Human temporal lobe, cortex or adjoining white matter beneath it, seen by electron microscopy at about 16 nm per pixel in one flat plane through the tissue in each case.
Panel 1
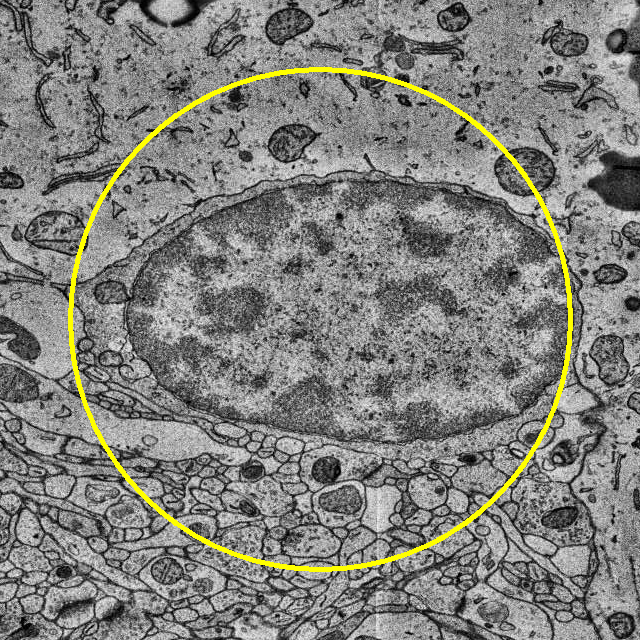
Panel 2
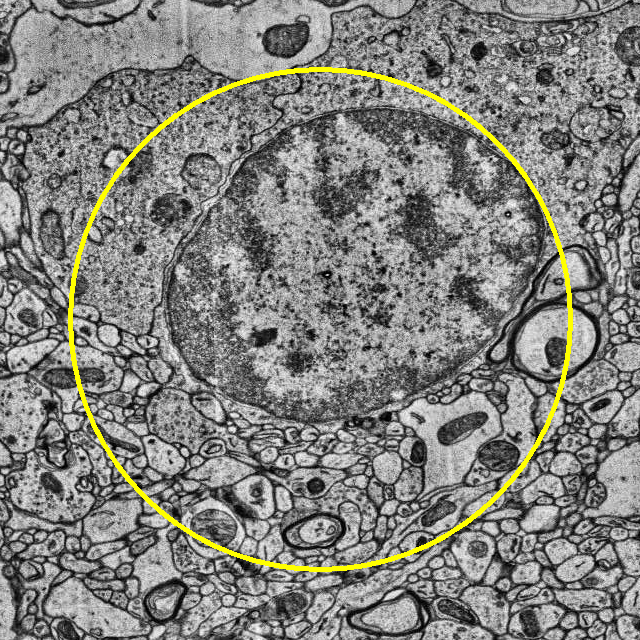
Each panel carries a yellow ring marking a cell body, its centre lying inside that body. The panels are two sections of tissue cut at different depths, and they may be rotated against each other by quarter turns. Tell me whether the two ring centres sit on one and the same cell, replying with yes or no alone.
no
